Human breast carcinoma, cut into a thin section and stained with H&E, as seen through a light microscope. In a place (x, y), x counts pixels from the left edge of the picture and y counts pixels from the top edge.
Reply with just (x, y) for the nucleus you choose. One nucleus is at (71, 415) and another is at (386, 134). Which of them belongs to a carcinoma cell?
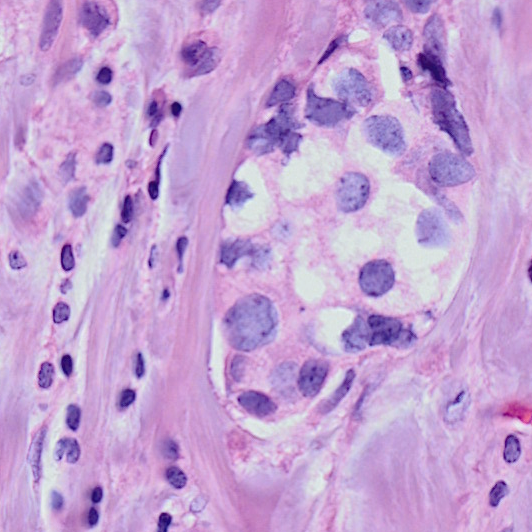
(386, 134)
